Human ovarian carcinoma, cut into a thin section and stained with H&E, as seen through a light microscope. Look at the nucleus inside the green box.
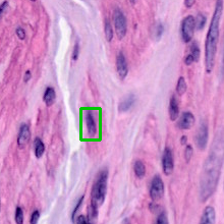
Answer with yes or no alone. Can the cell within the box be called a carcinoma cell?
no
